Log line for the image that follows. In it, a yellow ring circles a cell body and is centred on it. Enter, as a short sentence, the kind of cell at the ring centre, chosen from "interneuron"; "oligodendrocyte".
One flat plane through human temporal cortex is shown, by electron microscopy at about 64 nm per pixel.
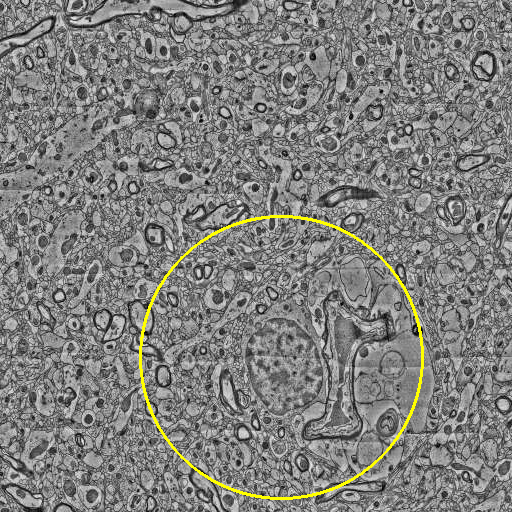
The ring centre is occupied by an oligodendrocyte.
